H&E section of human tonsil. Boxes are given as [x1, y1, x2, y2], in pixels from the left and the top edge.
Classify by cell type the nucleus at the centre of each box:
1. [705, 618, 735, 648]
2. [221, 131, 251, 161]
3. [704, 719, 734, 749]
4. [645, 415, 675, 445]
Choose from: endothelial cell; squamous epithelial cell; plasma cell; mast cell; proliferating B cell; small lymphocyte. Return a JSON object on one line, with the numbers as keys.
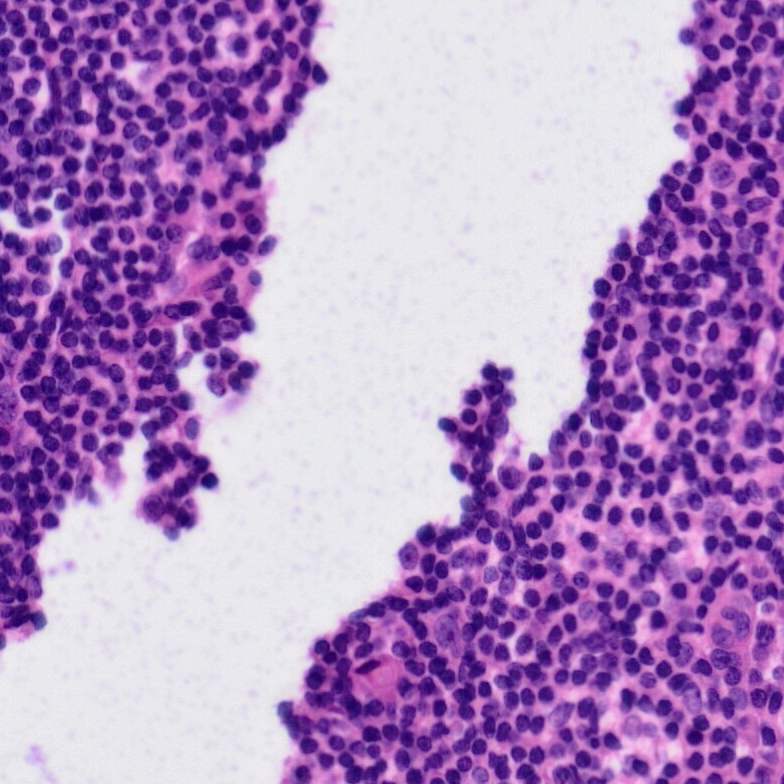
{"1": "endothelial cell", "2": "small lymphocyte", "3": "small lymphocyte", "4": "small lymphocyte"}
